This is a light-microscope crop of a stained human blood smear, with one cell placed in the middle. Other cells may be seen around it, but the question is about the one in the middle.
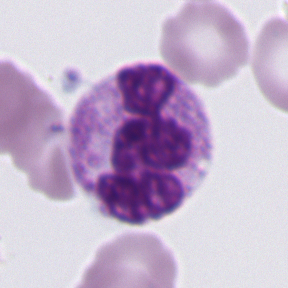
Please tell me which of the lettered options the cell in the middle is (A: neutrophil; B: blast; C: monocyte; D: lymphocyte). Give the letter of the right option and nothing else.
A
